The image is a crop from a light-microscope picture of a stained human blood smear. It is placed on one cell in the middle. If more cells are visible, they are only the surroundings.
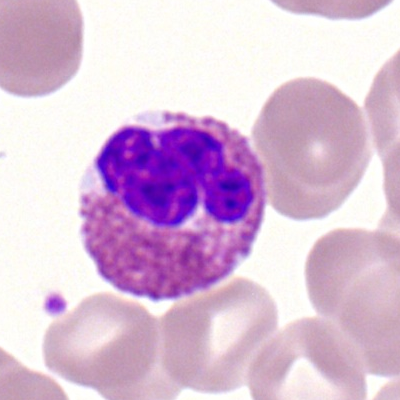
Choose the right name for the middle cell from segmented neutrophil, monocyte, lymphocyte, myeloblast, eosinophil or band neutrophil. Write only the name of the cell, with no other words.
eosinophil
